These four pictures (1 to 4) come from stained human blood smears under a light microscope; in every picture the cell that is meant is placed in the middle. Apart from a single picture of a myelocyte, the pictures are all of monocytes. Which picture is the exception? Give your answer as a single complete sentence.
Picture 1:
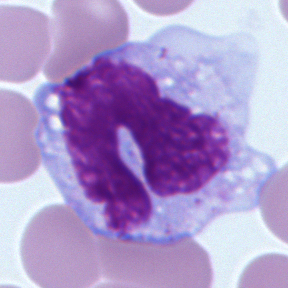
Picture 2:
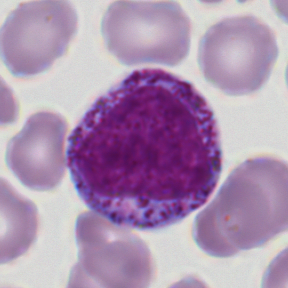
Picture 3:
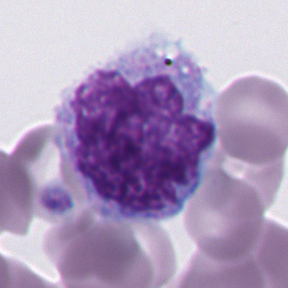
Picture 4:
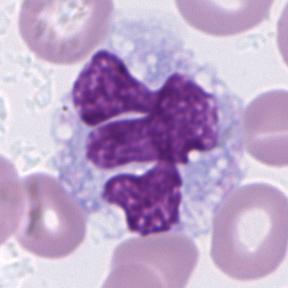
The myelocyte is the one in picture 2.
